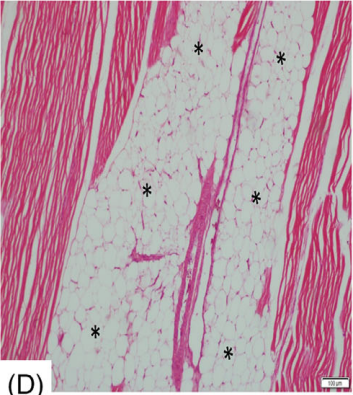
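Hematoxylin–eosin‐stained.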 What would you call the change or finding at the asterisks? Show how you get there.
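Fat infiltration. The marked area consists of many empty, rounded polygonal spaces with thin walls. This area lies between bundles of striated pink muscle fibers.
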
